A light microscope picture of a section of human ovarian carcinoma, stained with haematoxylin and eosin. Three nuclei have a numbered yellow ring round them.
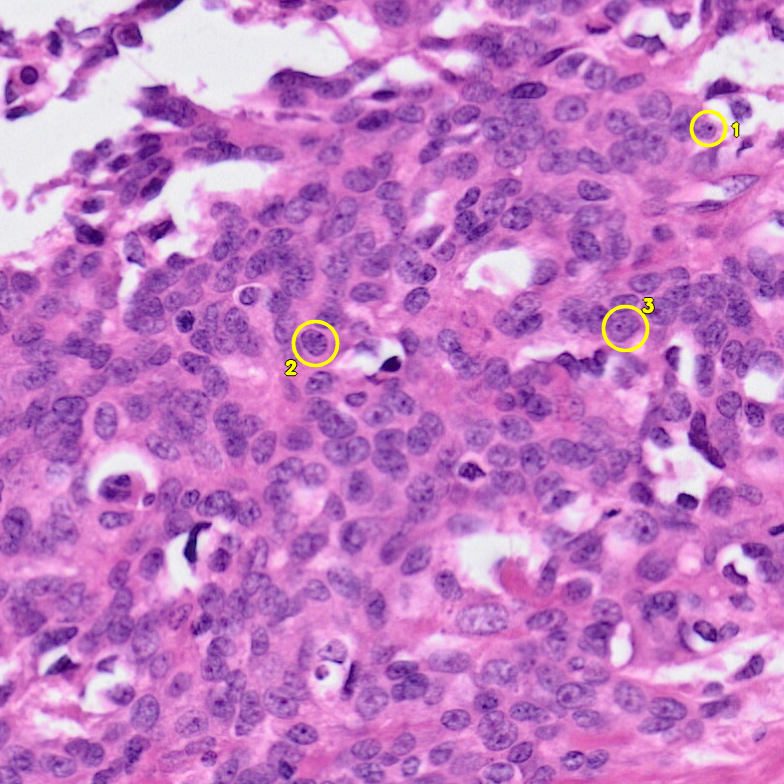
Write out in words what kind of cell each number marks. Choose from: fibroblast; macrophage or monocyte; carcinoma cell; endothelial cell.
Cells 1 and 2 are macrophages or monocytes. Cell 3 is a carcinoma cell.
